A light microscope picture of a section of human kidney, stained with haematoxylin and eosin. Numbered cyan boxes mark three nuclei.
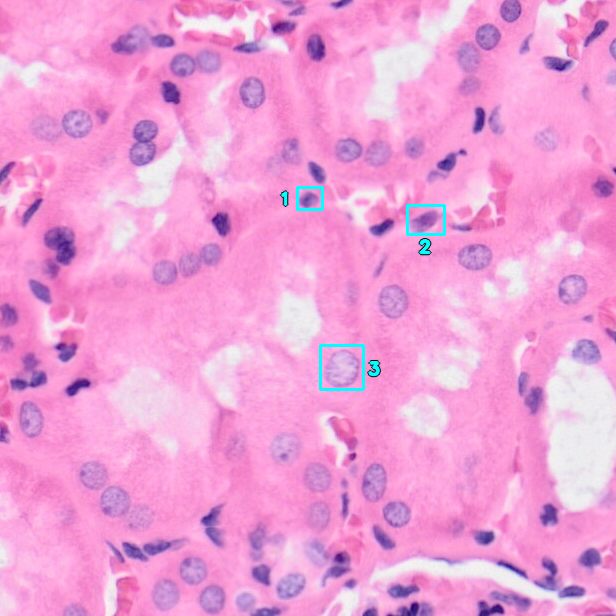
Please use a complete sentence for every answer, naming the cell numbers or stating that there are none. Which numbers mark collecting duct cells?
Not one numbered cell here is one of the collecting duct cells.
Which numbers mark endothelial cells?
In terms of cell type, cells 1 and 2 are endothelial cells.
